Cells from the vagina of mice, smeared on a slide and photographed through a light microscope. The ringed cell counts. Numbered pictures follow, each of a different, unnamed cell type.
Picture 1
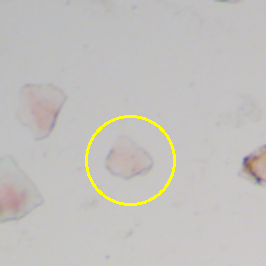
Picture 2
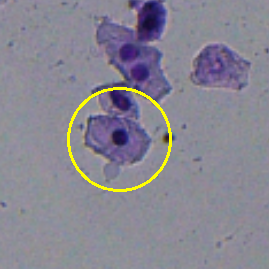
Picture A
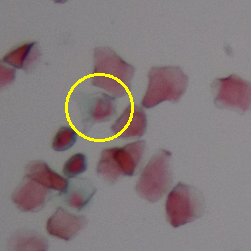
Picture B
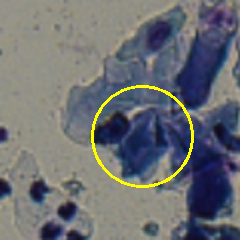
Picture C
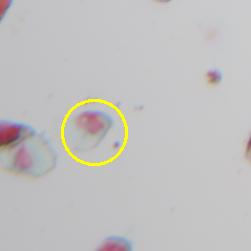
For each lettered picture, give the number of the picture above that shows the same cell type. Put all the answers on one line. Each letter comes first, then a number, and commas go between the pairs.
A 2, B 1, C 2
